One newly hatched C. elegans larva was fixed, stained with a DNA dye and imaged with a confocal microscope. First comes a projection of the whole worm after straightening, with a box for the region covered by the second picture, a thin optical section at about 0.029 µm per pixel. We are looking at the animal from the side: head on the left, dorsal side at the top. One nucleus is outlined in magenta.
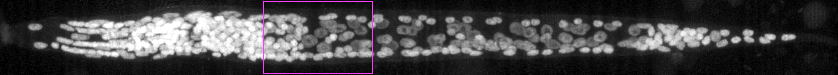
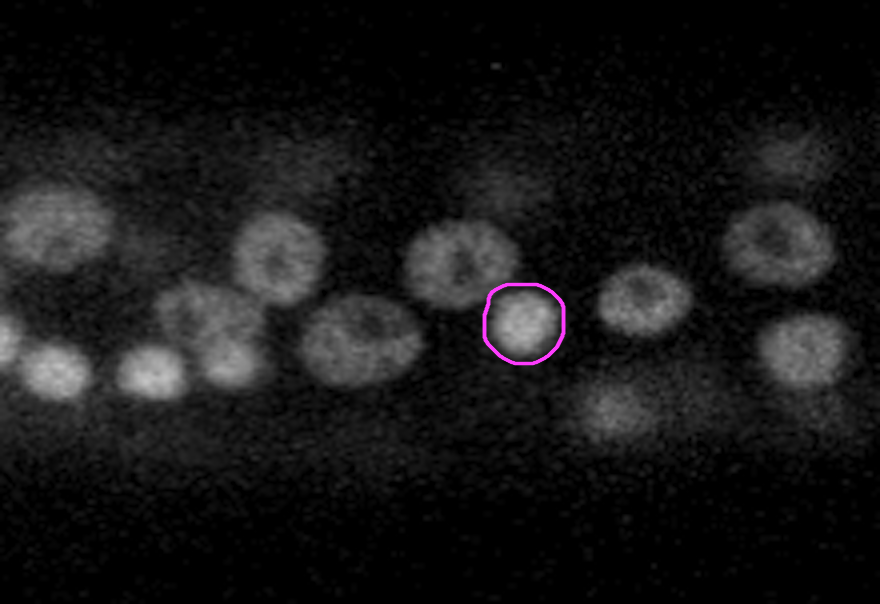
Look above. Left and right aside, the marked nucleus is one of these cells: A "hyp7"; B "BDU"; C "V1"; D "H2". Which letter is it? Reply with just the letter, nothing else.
B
